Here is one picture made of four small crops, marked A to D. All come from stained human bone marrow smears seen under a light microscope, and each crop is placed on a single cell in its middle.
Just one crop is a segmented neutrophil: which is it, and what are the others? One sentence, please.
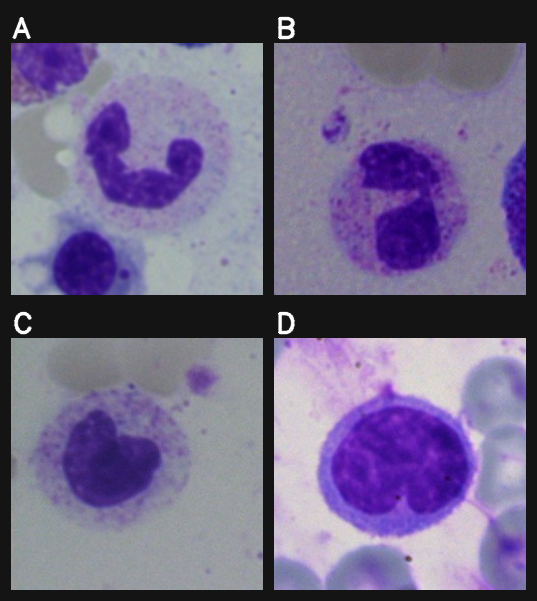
Crop B displays a segmented neutrophil, whereas crop A is a band neutrophil, crop C is a metamyelocyte and crop D is a monocyte.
